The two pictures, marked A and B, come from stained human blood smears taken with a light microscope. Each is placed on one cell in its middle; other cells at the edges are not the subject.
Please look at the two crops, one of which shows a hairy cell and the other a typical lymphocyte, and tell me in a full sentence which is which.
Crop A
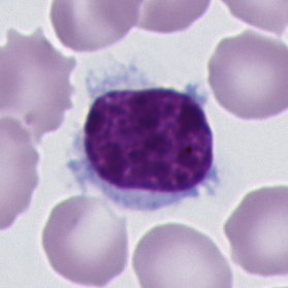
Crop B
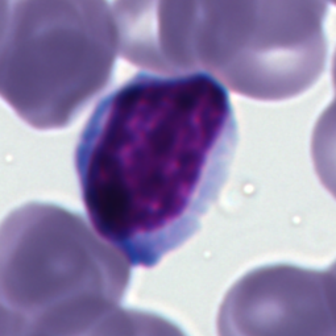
Crop A has been identified as a hairy cell, and crop B has been identified as a typical lymphocyte.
